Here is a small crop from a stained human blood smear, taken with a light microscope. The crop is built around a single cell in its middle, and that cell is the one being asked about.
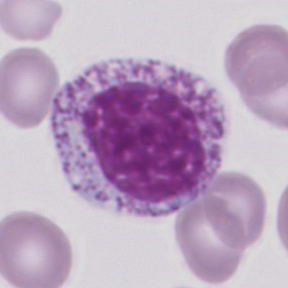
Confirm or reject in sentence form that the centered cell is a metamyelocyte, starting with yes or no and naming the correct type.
No, a myelocyte rather than a metamyelocyte is the cell at the centre of the crop.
